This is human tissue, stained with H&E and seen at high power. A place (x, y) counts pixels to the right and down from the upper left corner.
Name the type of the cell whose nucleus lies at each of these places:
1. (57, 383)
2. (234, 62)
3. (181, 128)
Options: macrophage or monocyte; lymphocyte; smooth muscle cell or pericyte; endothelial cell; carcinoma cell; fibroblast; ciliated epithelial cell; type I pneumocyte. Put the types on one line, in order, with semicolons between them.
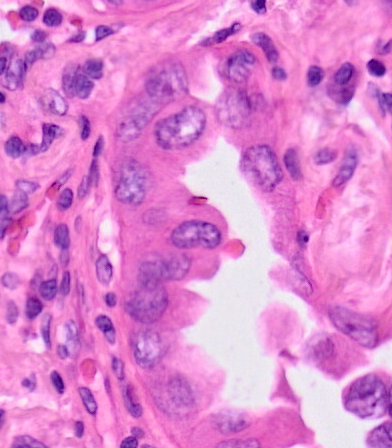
lymphocyte; carcinoma cell; carcinoma cell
